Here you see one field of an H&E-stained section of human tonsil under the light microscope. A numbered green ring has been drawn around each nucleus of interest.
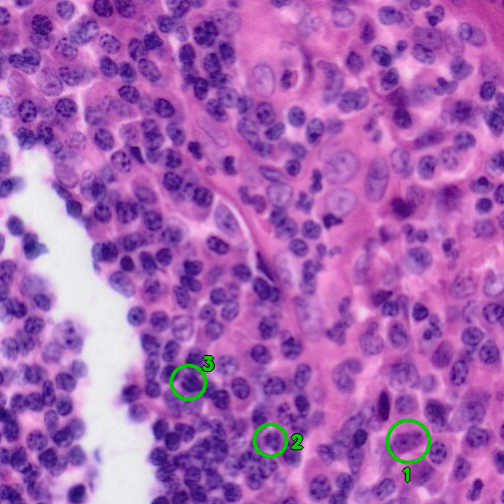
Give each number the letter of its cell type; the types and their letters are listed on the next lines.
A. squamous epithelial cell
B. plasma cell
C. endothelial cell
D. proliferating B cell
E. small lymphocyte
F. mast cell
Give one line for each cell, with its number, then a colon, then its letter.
1: A
2: B
3: E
